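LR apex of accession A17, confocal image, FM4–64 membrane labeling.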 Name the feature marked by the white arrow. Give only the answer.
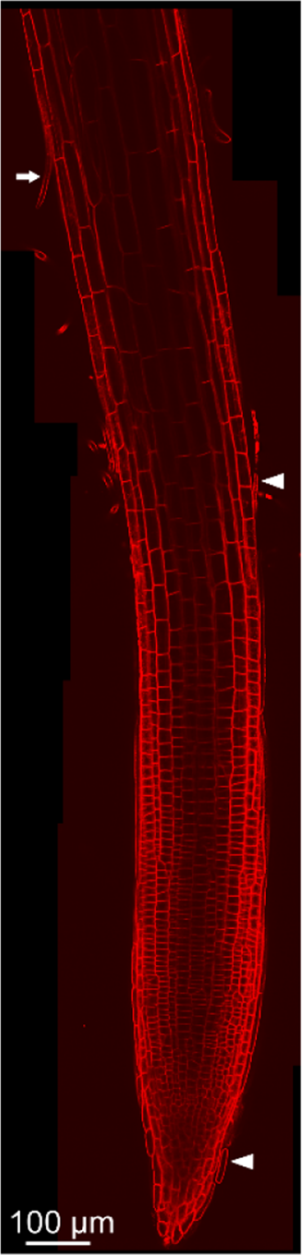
Root hair.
